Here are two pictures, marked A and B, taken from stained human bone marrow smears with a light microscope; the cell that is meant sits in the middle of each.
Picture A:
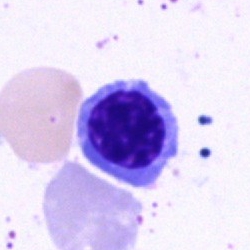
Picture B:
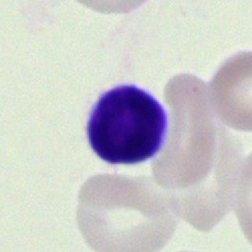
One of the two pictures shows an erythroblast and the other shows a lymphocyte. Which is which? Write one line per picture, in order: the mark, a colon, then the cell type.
A: erythroblast
B: lymphocyte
